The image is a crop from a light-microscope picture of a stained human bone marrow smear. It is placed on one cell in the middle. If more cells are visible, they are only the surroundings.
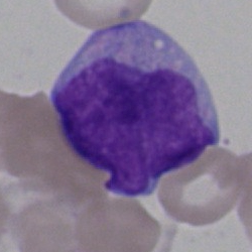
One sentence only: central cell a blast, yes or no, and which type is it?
Yes, a blast is present in the middle of the crop.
